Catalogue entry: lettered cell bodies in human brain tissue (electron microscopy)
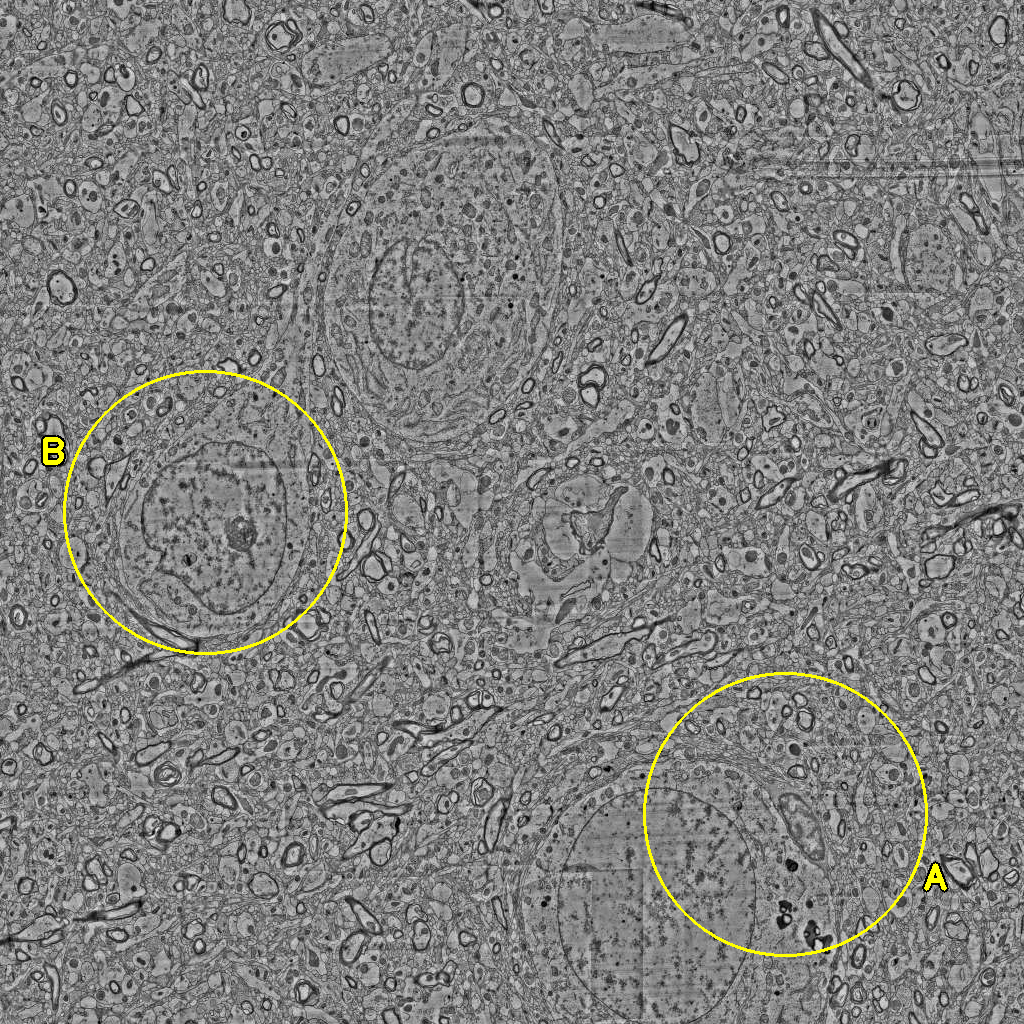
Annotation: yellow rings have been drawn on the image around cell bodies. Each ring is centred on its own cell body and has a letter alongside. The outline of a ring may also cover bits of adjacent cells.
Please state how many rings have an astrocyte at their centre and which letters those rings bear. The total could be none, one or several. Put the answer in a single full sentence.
The number of rings centred on an astrocyte is zero.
